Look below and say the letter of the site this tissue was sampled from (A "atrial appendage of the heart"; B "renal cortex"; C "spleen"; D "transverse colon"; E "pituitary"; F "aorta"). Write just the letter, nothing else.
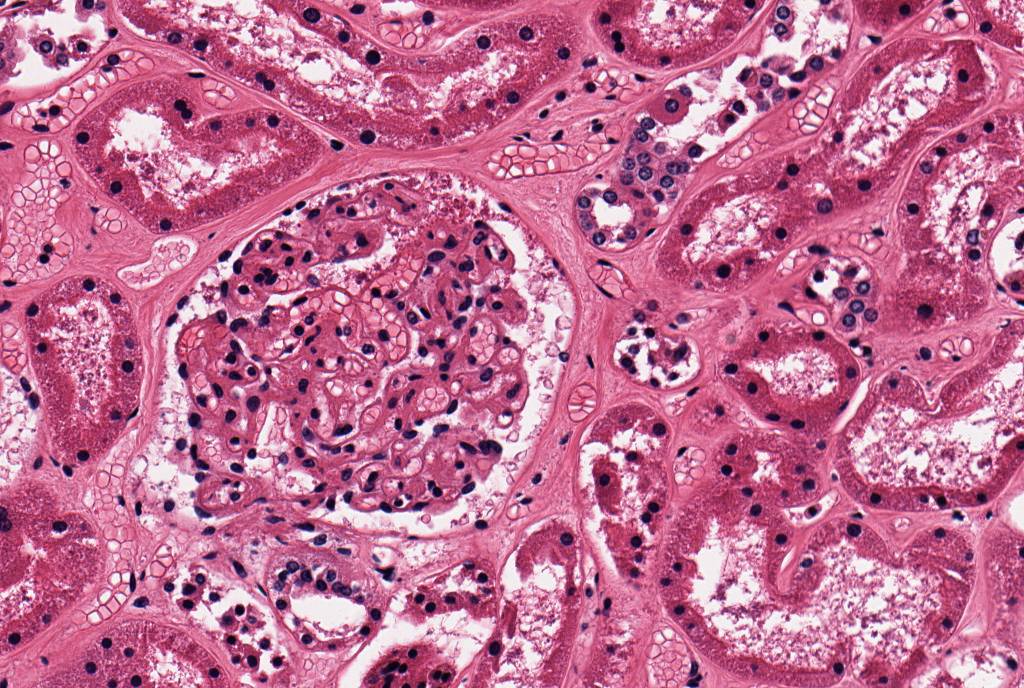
B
